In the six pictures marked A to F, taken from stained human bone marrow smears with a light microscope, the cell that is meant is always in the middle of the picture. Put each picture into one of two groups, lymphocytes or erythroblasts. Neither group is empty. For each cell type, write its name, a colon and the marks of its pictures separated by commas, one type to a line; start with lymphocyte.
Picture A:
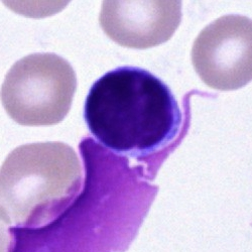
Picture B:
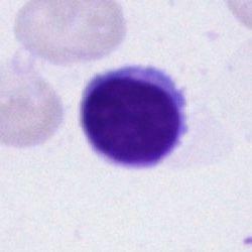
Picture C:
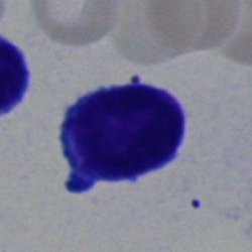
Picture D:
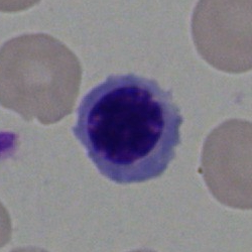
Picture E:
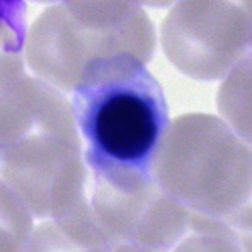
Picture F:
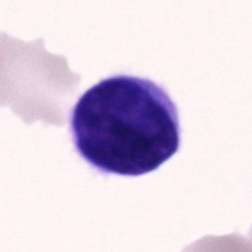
lymphocyte: A, B, C, F
erythroblast: D, E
